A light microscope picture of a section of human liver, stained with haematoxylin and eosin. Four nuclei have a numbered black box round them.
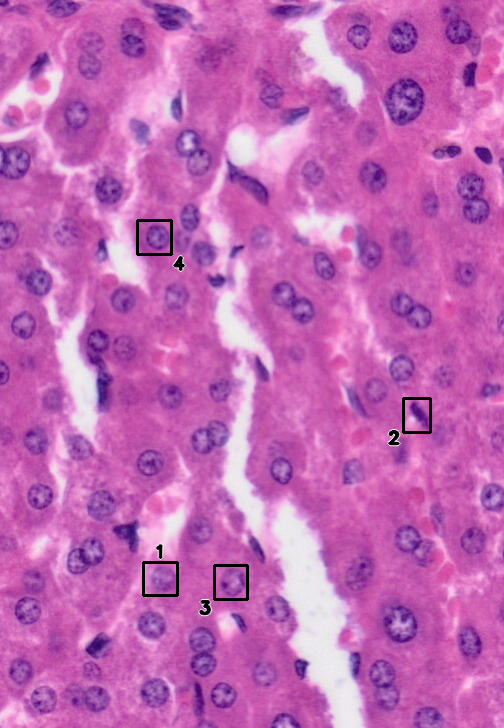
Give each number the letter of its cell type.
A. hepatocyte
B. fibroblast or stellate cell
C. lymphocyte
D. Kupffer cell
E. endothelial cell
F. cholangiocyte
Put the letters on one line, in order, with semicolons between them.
A; B; A; A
